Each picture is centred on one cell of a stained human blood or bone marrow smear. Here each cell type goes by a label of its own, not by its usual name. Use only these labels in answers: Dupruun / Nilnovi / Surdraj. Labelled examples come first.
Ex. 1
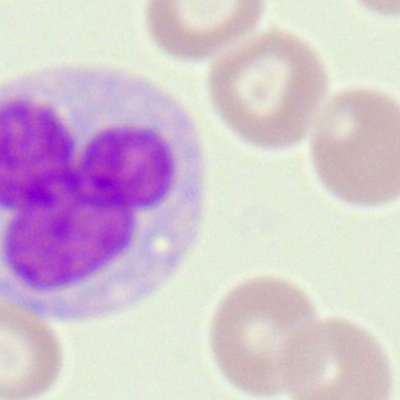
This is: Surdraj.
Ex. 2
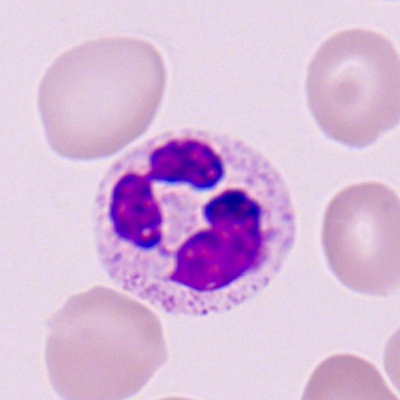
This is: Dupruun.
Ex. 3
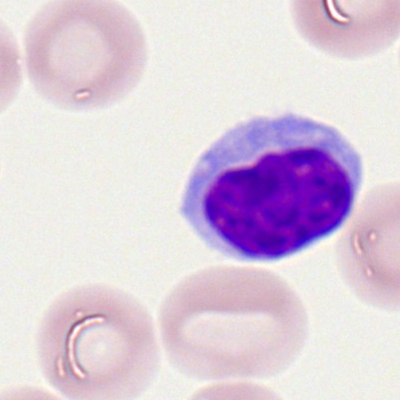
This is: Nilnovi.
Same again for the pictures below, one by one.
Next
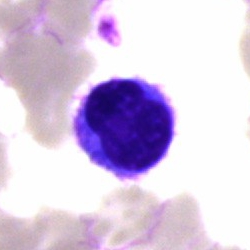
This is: Nilnovi.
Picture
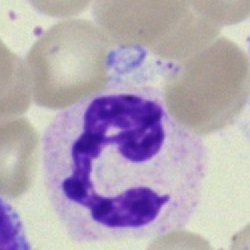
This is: Dupruun.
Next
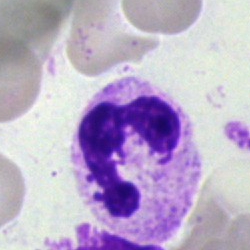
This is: Dupruun.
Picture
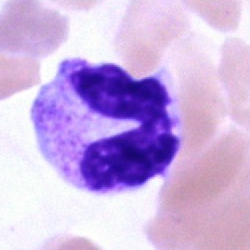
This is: Dupruun.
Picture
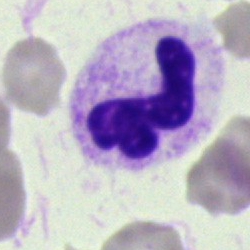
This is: Dupruun.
